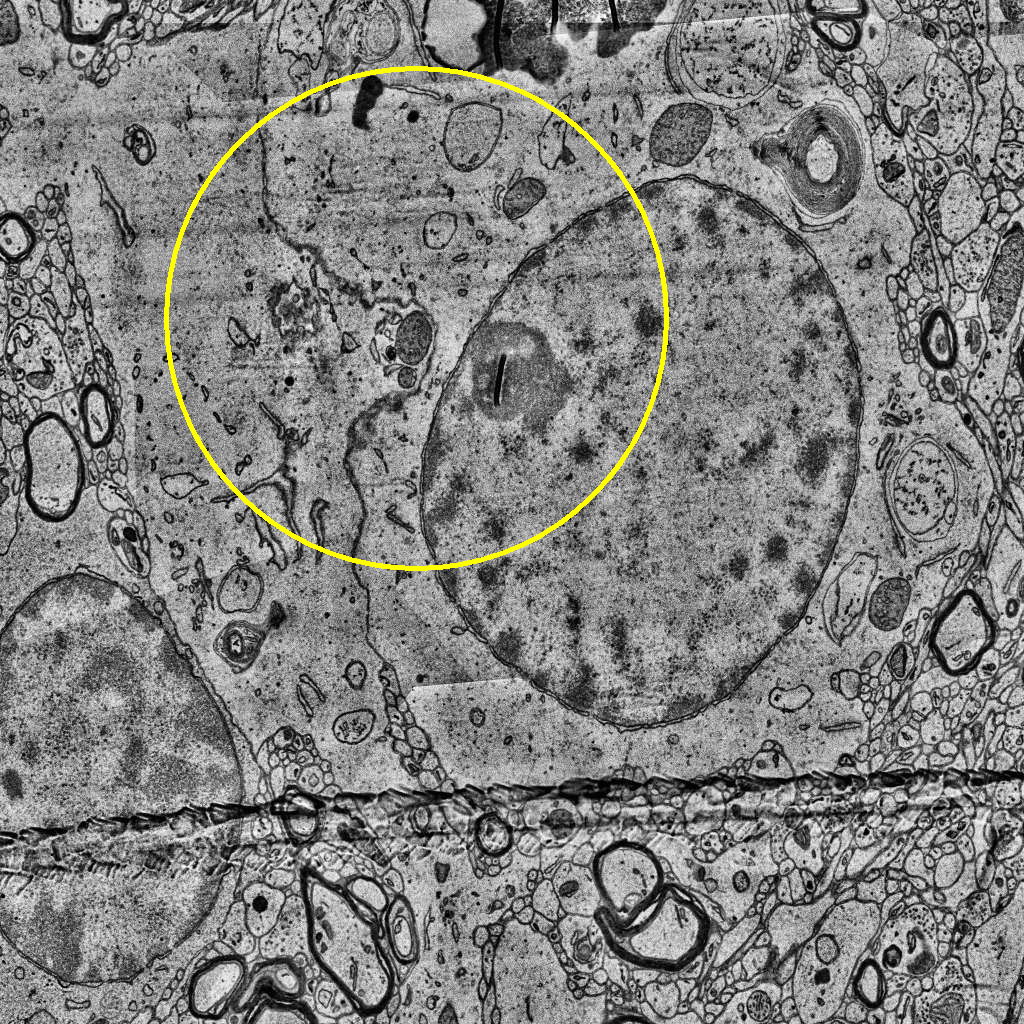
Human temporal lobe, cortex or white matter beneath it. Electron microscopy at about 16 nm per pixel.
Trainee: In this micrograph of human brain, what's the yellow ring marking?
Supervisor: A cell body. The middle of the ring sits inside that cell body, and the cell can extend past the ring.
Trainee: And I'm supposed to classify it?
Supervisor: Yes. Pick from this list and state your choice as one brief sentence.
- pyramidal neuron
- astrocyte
The cell at the ring's center is an astrocyte.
